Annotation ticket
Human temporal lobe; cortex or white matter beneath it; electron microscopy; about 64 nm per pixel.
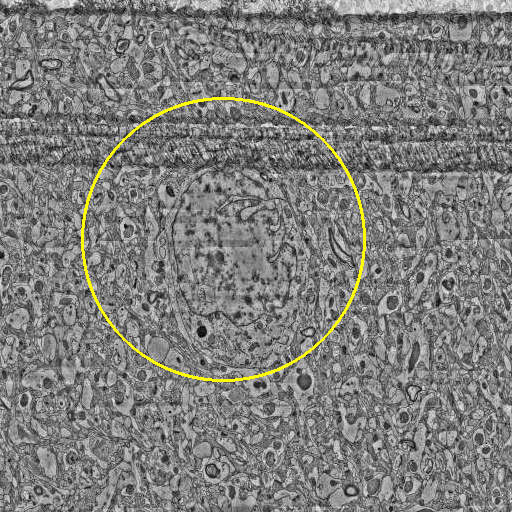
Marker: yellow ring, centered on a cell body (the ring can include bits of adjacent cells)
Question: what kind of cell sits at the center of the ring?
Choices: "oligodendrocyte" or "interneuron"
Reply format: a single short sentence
The ring is centered on an interneuron.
